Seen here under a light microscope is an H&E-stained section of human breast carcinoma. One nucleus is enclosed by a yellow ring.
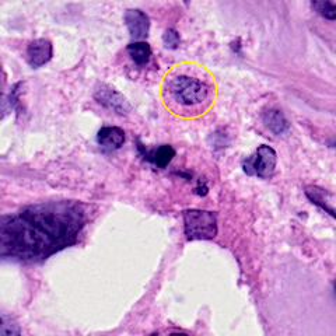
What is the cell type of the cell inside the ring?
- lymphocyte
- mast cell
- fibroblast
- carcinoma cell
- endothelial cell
mast cell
